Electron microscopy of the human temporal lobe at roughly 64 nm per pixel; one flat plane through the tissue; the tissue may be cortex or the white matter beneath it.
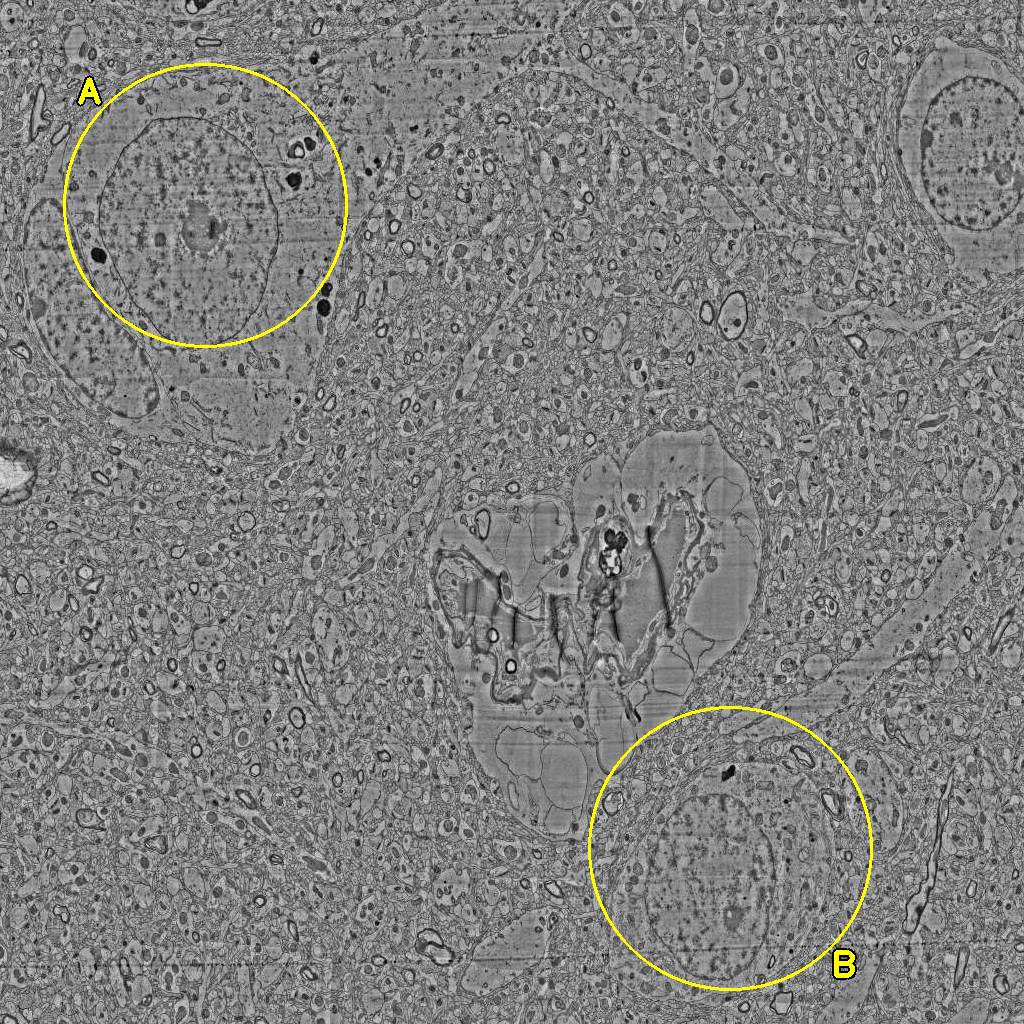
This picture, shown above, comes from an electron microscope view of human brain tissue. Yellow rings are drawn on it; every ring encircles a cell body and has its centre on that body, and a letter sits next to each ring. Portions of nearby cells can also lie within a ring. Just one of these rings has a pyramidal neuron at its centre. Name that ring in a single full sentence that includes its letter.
In the picture, ring A has the cell asked for at its centre.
